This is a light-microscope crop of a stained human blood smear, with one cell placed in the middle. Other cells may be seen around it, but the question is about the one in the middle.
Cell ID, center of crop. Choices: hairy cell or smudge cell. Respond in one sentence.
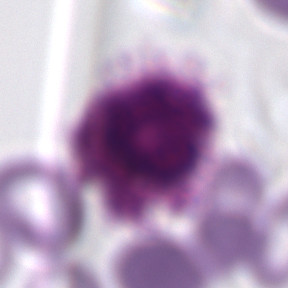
The cell centered in this field of view is a smudge cell.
